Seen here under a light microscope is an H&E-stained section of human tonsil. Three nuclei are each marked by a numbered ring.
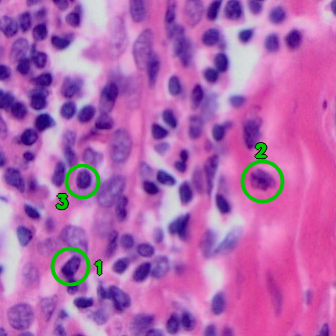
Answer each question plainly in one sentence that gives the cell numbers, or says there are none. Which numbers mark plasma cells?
The marked and numbered cells comprise no plasma cells.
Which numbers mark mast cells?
Only the cell numbered 2 is a mast cell; none of the others is.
